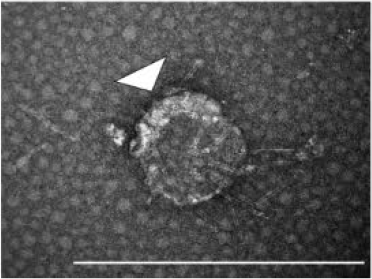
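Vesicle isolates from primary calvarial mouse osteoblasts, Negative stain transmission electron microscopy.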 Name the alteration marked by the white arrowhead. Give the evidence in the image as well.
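The vesicle has a ragged, irregular outline. Bright, crumpled material covers part of the vesicle. So: disrupted or crenelated membranes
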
